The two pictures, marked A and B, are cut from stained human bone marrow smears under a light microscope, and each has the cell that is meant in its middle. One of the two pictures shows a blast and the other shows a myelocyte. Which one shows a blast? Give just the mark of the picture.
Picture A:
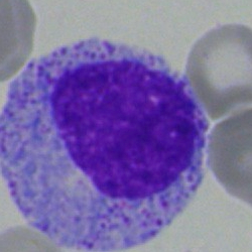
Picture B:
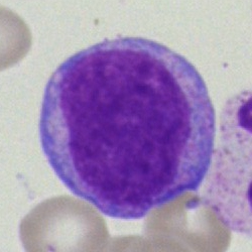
B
